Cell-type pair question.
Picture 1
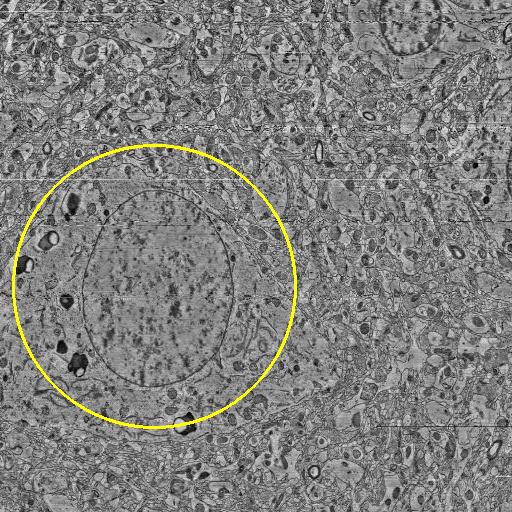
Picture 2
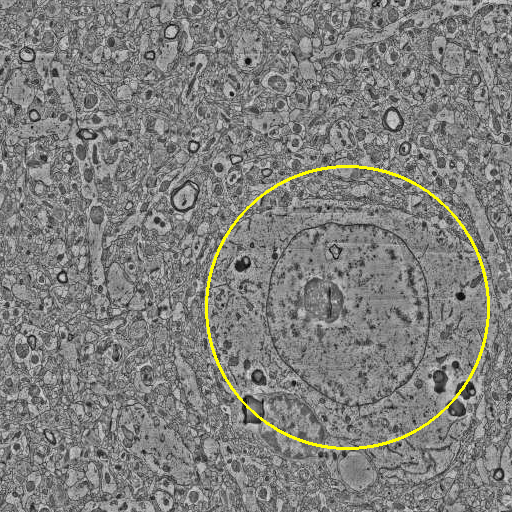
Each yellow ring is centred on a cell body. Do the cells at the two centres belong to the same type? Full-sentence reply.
Yes, the two cells belong to the same type.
